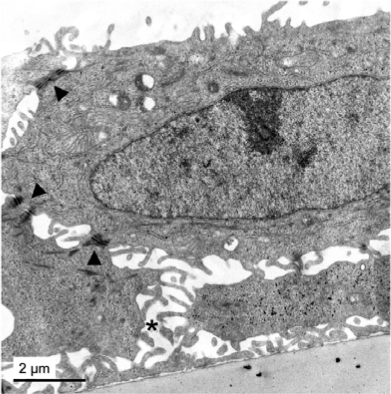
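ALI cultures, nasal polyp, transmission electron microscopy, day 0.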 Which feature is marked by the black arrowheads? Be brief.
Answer: desmosomes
